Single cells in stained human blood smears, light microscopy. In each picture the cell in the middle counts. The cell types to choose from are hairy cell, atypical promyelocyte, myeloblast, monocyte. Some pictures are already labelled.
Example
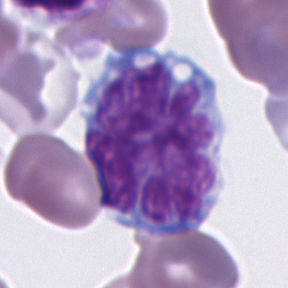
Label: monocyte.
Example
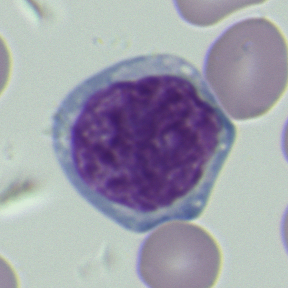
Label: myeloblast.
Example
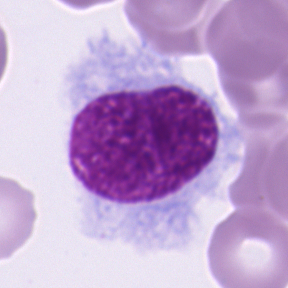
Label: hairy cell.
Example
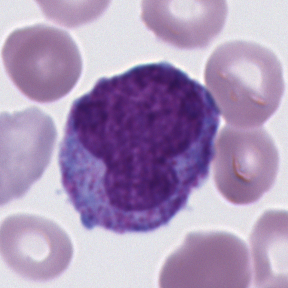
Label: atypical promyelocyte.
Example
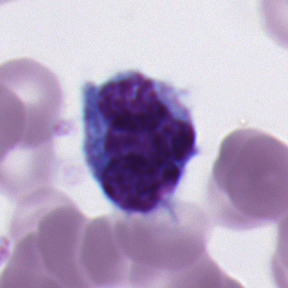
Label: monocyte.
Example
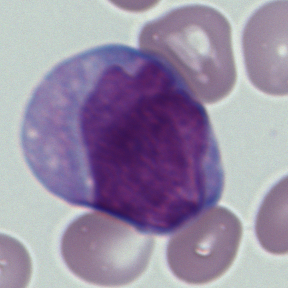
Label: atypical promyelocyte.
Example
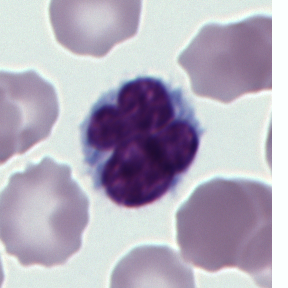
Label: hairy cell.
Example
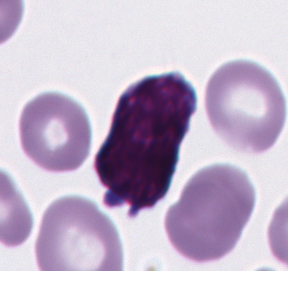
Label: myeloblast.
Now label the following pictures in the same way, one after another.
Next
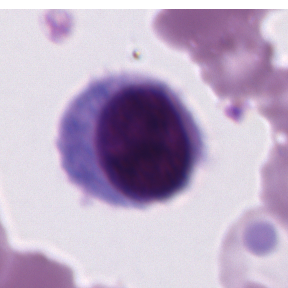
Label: hairy cell.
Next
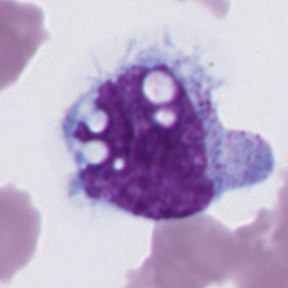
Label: monocyte.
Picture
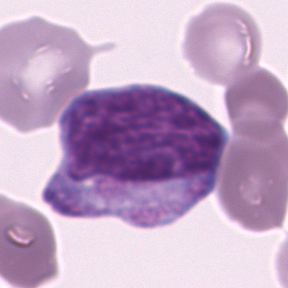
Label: atypical promyelocyte.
